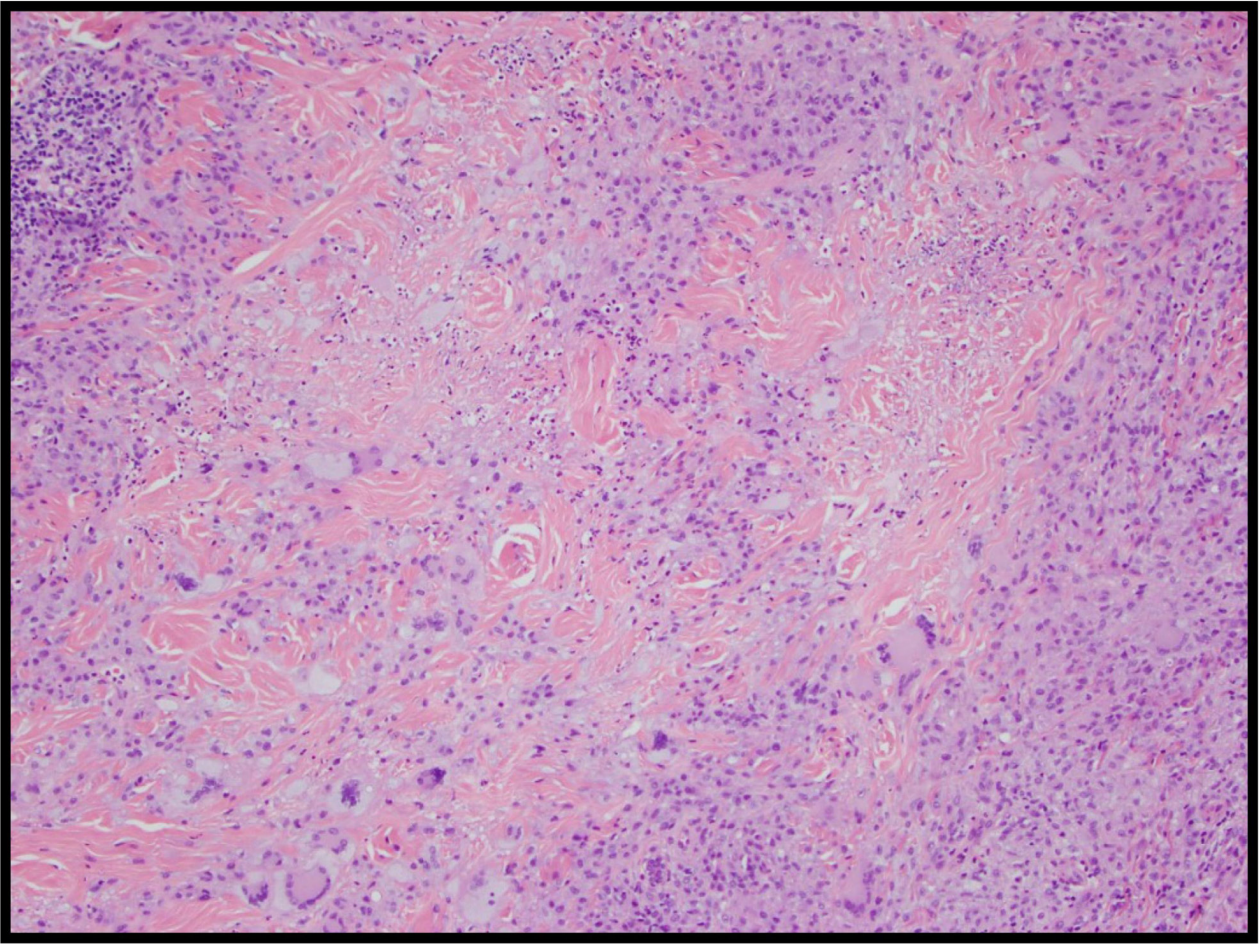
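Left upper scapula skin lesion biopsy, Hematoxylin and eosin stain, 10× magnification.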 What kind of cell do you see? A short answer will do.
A: Giant cells with some Touton features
